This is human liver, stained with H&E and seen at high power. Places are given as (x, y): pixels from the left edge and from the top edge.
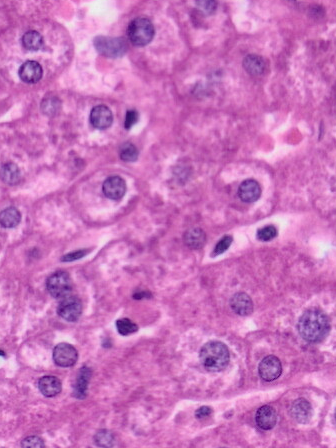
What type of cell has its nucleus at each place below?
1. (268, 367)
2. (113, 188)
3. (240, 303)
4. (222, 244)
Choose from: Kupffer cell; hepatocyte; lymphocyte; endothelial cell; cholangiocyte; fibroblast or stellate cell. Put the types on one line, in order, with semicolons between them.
hepatocyte; hepatocyte; hepatocyte; lymphocyte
